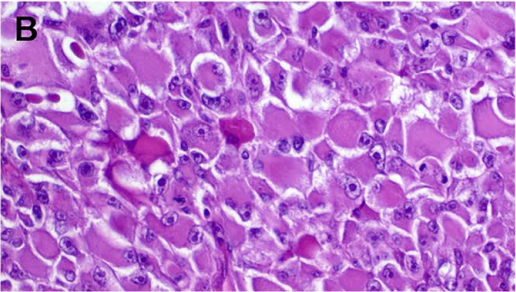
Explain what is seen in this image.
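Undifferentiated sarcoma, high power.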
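Eosinophilic tumour cells with copious rhabdoid cytoplasm are crowded across the field. The cells are large and polygonal, with abundant glassy pink cytoplasm that pushes the nucleus to one side. Several cells contain denser, deeply pink rounded masses in the cytoplasm, and a few show a clear halo or vacuole. The nuclei are round to oval with prominent nucleoli. The cells lie close together with narrow clefts between them and little visible stroma.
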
